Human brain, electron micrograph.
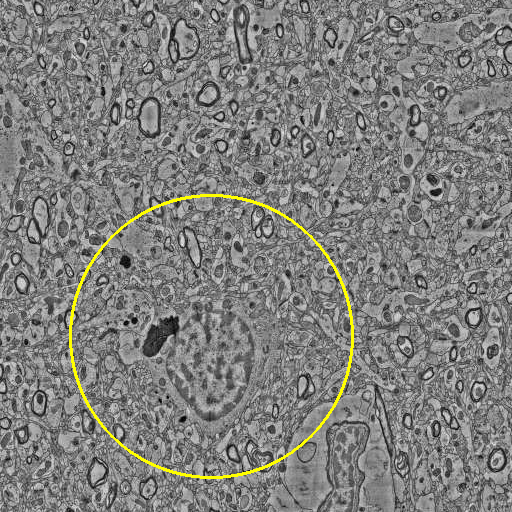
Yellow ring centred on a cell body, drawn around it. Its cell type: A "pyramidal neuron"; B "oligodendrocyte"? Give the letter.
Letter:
B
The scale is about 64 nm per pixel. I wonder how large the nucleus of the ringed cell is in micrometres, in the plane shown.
In this plane the nucleus measures roughly 7 by 6 micrometres.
